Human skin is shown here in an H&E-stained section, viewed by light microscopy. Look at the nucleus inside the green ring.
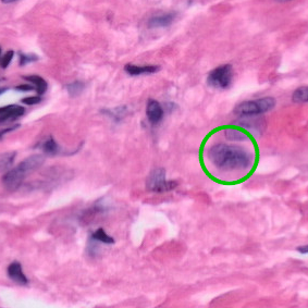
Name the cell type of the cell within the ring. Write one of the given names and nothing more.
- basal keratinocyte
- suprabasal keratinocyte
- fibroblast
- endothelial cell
endothelial cell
